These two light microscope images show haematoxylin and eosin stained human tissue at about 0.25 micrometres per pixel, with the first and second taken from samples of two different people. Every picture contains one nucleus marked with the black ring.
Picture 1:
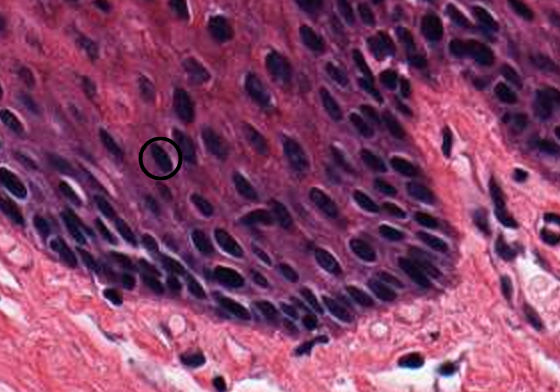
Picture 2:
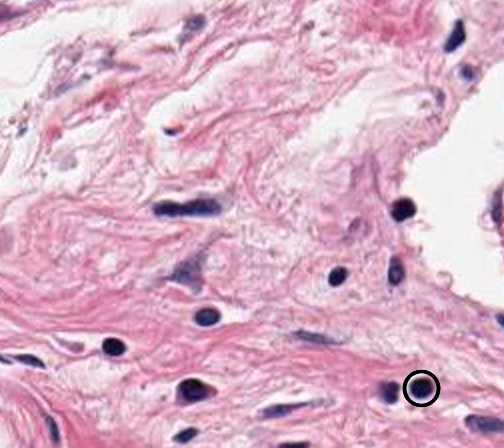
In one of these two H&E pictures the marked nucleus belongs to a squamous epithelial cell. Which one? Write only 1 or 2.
1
